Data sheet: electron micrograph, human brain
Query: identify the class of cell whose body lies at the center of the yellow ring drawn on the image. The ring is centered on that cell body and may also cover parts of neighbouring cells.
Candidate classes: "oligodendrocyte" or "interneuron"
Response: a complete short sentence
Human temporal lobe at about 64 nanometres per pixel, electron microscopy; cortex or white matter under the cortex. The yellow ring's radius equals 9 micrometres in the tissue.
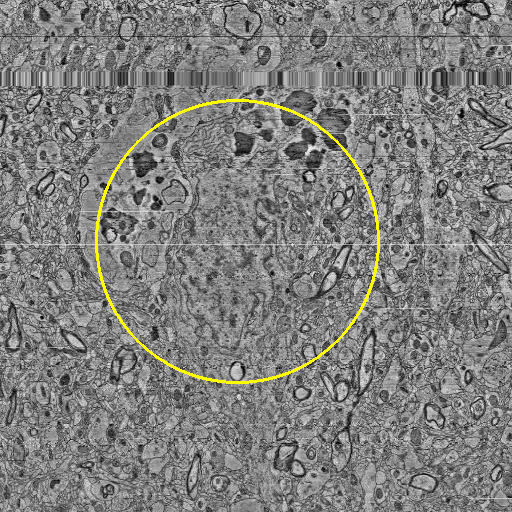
At the center of the ring lies an interneuron.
